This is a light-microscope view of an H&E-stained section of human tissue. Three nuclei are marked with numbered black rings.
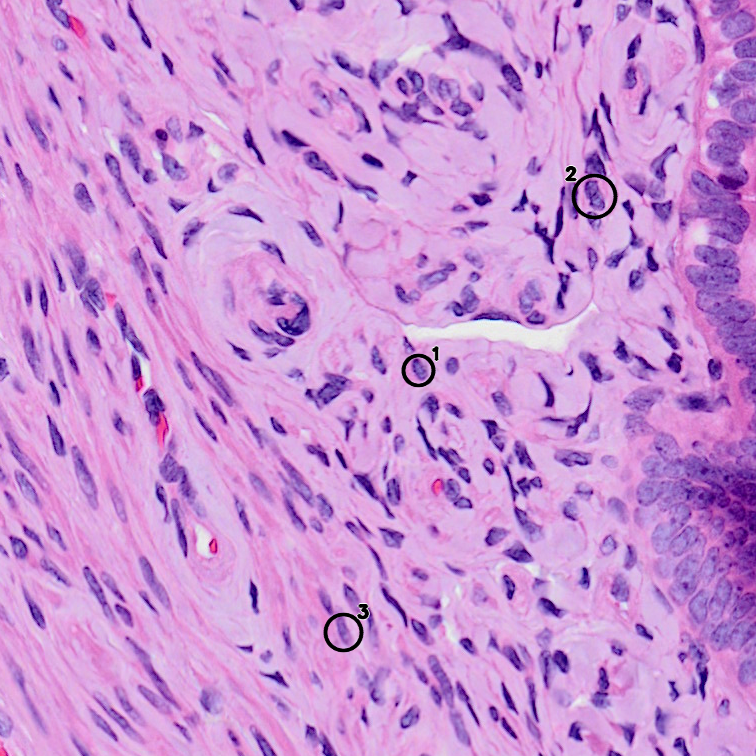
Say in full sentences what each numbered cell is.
Cell 1 is a smooth muscle cell, cell 2 is an endothelial cell and cell 3 is a smooth muscle cell.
